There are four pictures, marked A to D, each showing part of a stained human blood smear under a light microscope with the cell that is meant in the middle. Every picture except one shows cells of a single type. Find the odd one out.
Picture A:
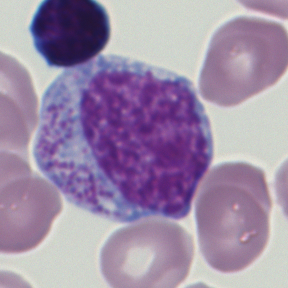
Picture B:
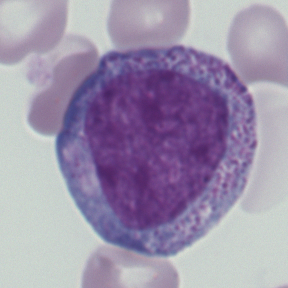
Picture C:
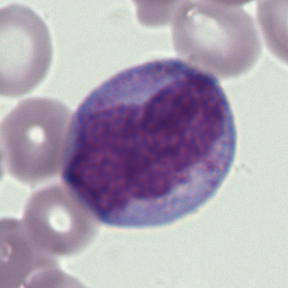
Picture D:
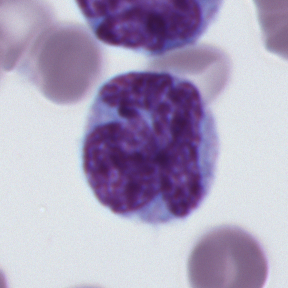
D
